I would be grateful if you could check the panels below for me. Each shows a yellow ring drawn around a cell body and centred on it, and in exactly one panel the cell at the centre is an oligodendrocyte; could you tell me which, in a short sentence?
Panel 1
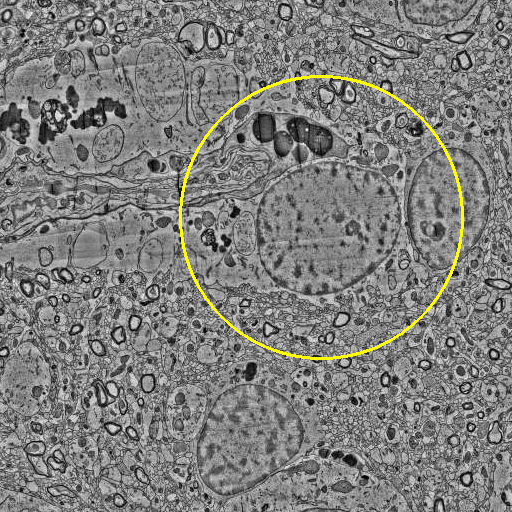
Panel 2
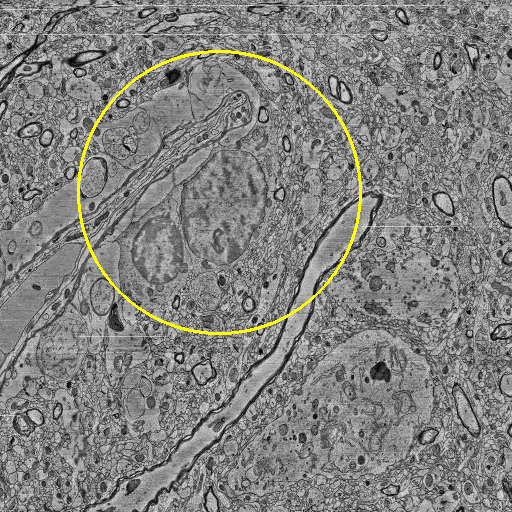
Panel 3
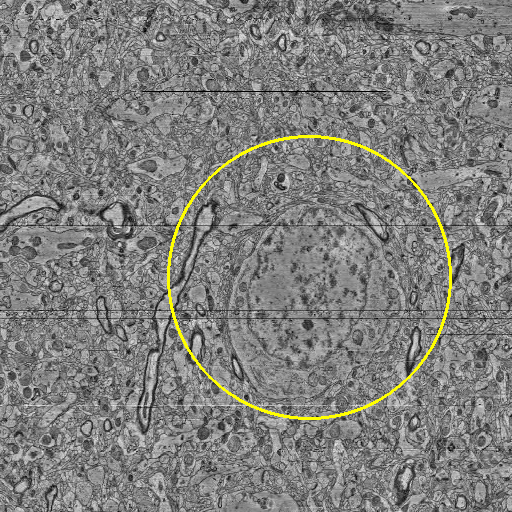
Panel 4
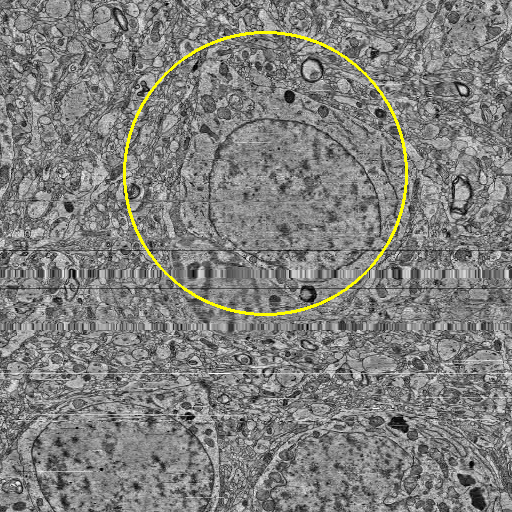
The ring in Panel 2 is centred on it.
